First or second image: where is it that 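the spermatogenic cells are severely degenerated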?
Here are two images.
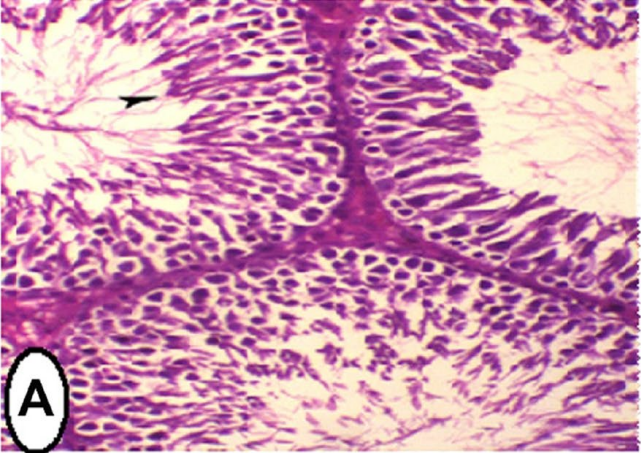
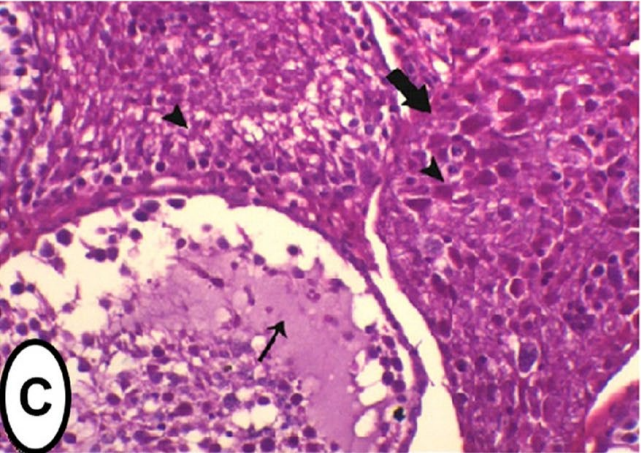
The second image.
